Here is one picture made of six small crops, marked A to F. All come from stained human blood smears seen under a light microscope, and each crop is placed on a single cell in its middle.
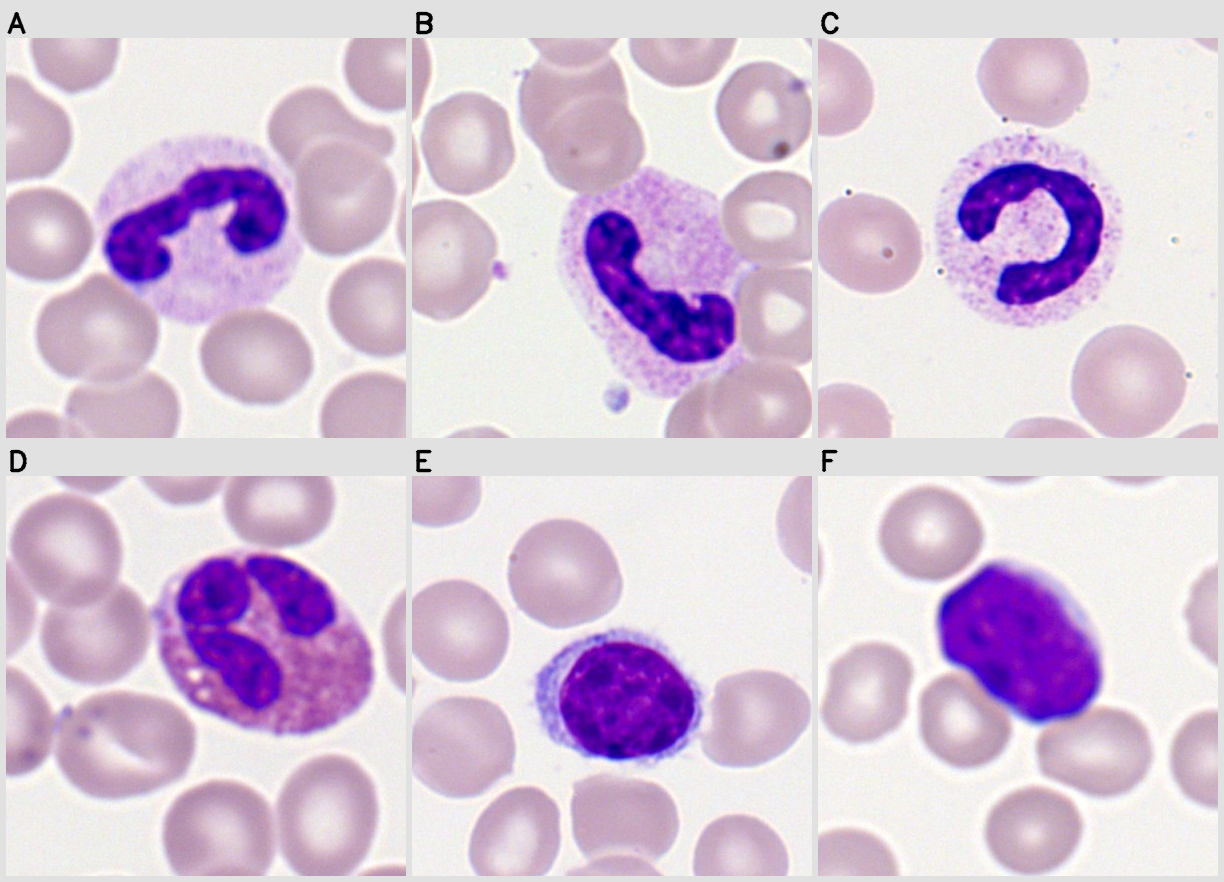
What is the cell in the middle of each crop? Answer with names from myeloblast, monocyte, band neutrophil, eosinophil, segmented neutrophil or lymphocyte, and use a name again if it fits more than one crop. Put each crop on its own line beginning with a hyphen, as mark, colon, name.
- A: band neutrophil
- B: band neutrophil
- C: band neutrophil
- D: eosinophil
- E: lymphocyte
- F: myeloblast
